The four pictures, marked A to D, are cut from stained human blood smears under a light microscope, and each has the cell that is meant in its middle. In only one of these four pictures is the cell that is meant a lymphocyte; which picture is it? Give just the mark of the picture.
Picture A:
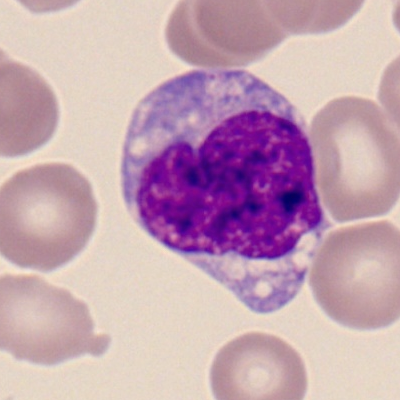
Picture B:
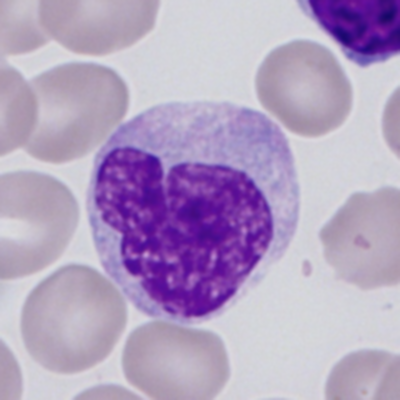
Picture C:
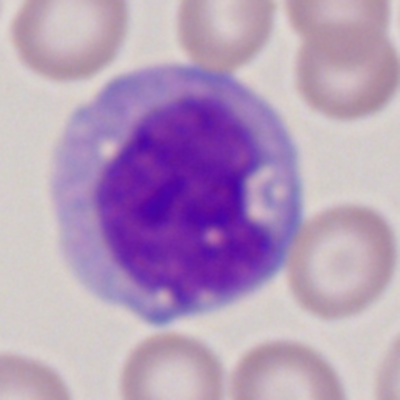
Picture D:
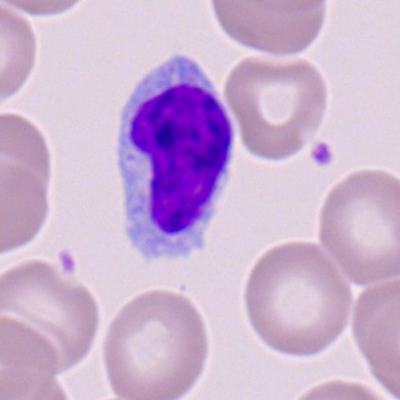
D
